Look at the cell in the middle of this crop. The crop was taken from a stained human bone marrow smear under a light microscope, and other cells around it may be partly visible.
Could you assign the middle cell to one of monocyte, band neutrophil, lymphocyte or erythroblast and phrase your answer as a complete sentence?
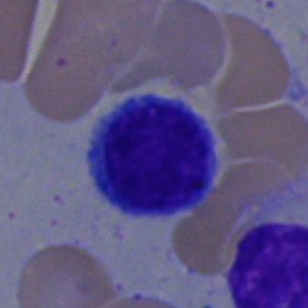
The cell in the exact centre of the crop is a lymphocyte.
